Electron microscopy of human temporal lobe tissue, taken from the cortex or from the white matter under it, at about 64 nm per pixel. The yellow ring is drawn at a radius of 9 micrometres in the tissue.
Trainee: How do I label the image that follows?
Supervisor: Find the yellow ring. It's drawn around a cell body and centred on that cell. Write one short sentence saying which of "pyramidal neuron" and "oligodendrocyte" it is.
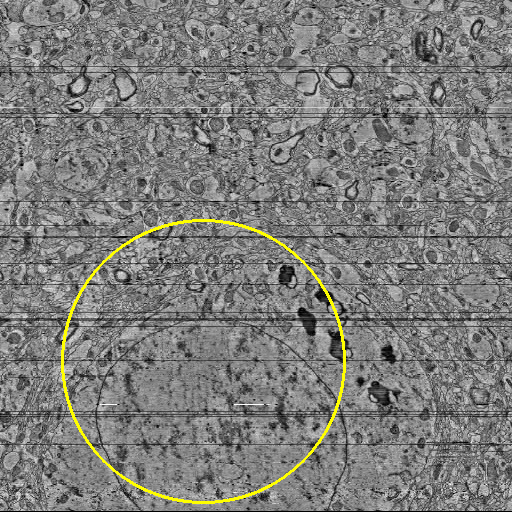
This is the cell body of a pyramidal neuron.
